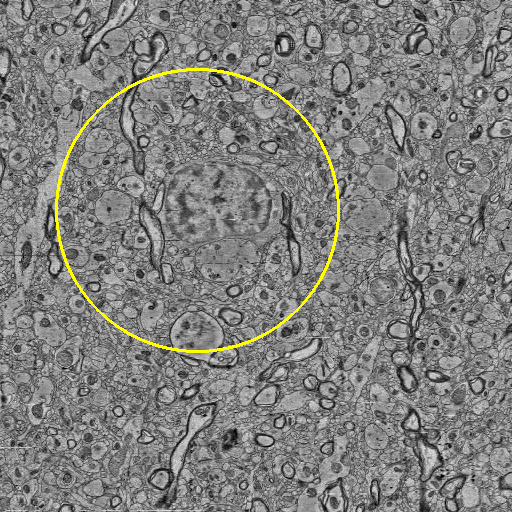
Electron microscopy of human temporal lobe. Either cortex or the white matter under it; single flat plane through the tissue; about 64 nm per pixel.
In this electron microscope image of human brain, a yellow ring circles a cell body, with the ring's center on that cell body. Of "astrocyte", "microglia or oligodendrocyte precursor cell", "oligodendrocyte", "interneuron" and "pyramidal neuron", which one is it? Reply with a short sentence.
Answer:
It is an oligodendrocyte at the center of the ring.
